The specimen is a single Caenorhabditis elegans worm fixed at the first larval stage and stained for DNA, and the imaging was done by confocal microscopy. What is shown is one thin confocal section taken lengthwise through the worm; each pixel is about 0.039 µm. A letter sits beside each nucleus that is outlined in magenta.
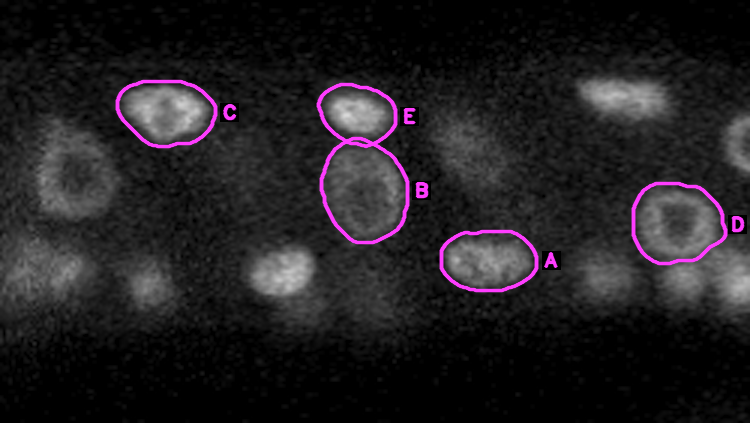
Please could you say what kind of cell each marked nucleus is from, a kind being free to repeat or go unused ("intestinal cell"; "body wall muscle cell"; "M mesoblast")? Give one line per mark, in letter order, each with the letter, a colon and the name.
A: body wall muscle cell
B: M mesoblast
C: body wall muscle cell
D: intestinal cell
E: body wall muscle cell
